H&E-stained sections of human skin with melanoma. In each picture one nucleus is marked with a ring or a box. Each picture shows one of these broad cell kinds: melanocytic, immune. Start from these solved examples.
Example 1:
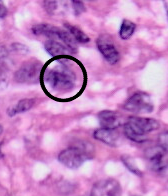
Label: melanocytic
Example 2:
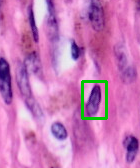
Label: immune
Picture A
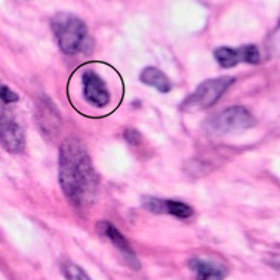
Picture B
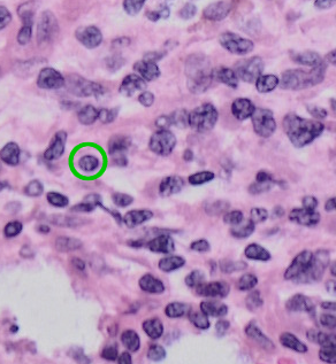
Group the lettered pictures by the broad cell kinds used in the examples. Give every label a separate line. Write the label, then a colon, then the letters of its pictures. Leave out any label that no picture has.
immune: A, B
